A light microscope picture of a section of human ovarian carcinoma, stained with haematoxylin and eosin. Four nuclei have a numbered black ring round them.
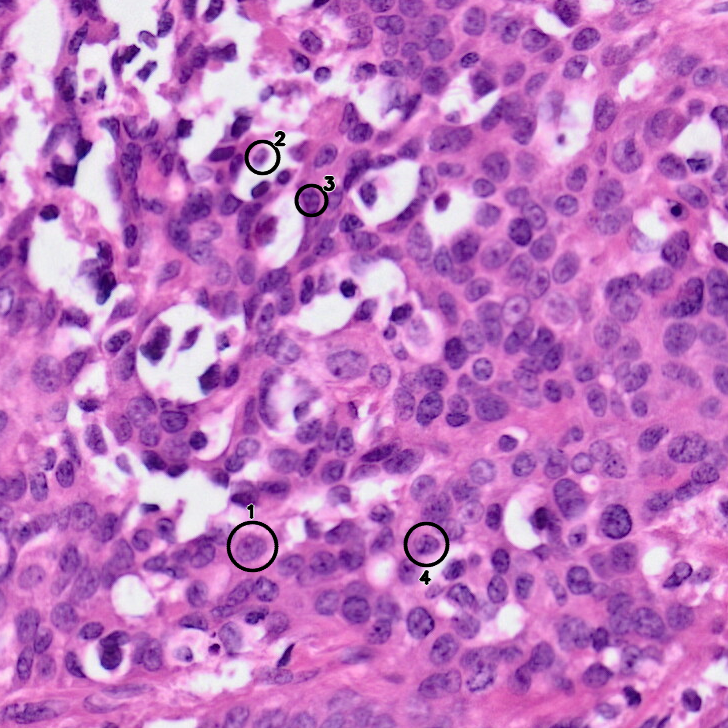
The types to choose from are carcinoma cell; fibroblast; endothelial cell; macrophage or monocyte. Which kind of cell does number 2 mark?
carcinoma cell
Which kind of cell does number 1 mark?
carcinoma cell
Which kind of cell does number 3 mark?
carcinoma cell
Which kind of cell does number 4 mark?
macrophage or monocyte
